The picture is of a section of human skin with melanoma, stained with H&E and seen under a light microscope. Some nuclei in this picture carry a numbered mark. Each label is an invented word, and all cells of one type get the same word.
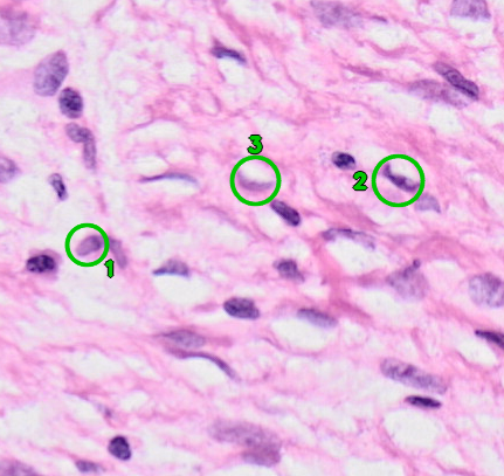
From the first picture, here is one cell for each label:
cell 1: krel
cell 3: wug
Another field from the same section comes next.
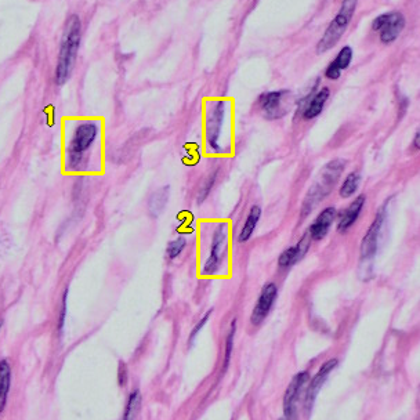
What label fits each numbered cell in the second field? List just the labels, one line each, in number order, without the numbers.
krel
wug
wug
